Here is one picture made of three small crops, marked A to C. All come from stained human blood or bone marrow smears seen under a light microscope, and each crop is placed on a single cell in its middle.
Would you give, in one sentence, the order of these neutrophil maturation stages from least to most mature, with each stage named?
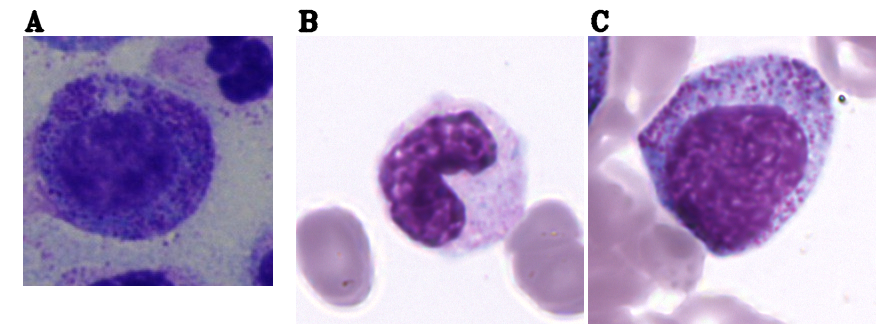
The proper maturity order, starting from the least mature, is crop C (a promyelocyte), crop A (a myelocyte) and crop B (a band neutrophil).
